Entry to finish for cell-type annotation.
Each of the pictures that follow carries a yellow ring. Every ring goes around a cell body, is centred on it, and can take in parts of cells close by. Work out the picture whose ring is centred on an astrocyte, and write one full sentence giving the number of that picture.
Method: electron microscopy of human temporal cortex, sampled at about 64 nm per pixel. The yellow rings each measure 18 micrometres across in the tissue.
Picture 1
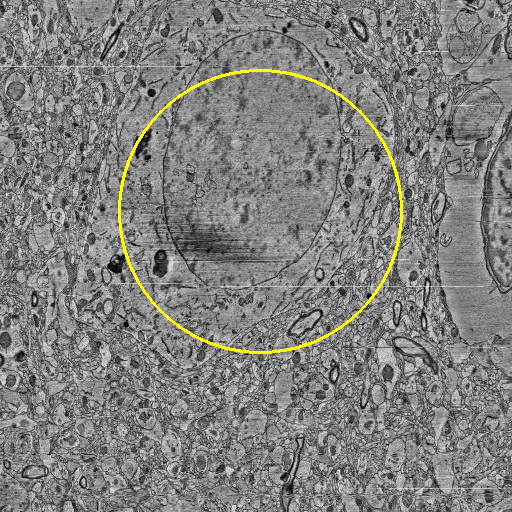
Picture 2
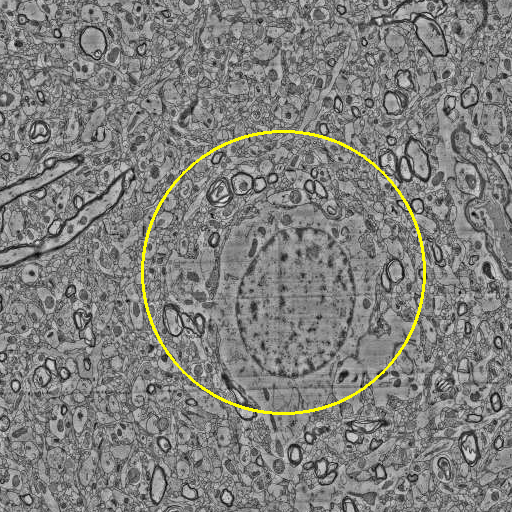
The cell at the heart of the ring in picture 2 matches the request.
